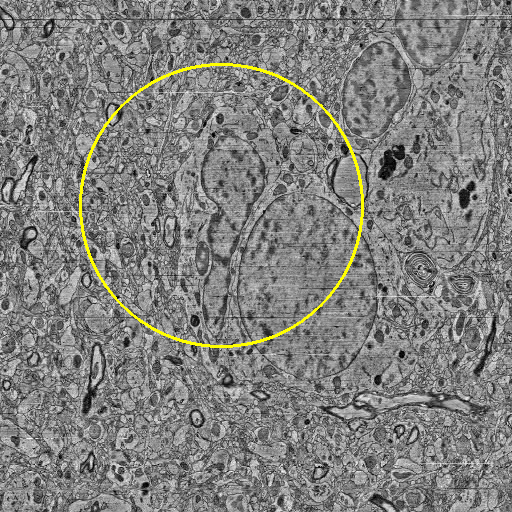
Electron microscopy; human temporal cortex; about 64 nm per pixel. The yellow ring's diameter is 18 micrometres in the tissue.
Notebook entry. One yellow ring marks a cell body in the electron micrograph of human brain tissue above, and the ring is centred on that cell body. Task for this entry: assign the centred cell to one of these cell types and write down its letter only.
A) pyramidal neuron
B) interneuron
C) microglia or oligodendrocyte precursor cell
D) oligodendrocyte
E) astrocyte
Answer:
C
